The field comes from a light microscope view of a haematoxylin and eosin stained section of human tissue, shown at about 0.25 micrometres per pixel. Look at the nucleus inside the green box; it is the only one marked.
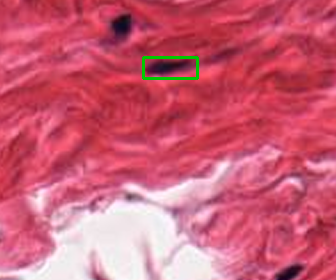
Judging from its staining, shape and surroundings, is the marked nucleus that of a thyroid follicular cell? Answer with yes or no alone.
no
